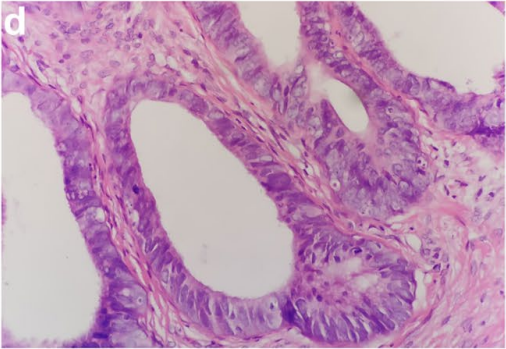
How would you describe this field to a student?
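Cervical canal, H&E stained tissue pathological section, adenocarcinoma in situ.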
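Glands with open, clear lumens are lined by tall columnar epithelial cells set in pink fibrous stroma. Their nuclei are enlarged, elongated, dark purple and crowded, stacked at several levels yet lying neatly side by side. The thin stroma between the glands holds small spindle-shaped nuclei.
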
